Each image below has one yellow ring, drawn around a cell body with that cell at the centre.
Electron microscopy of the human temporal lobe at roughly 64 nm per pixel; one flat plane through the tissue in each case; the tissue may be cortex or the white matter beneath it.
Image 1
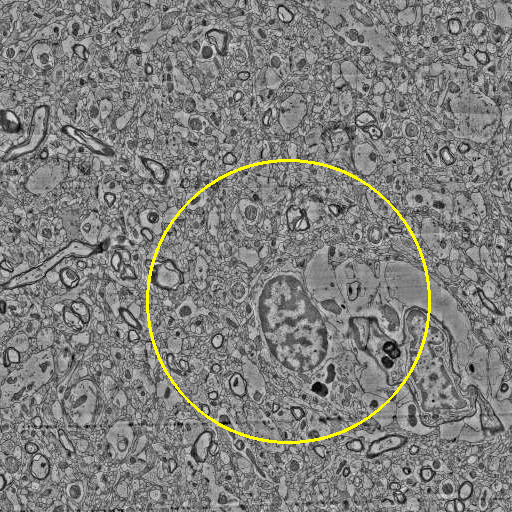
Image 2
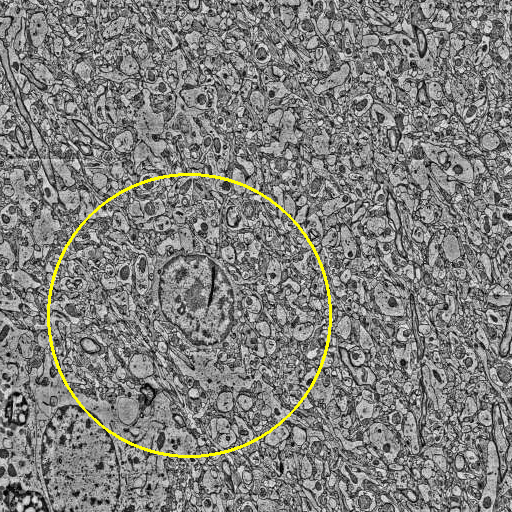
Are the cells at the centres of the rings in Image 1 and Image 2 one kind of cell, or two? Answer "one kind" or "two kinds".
two kinds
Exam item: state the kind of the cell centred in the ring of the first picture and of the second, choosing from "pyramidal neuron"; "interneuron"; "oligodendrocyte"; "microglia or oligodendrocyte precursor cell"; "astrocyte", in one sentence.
The first picture shows a microglial cell or oligodendrocyte precursor cell at the ring centre and the second shows an oligodendrocyte.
